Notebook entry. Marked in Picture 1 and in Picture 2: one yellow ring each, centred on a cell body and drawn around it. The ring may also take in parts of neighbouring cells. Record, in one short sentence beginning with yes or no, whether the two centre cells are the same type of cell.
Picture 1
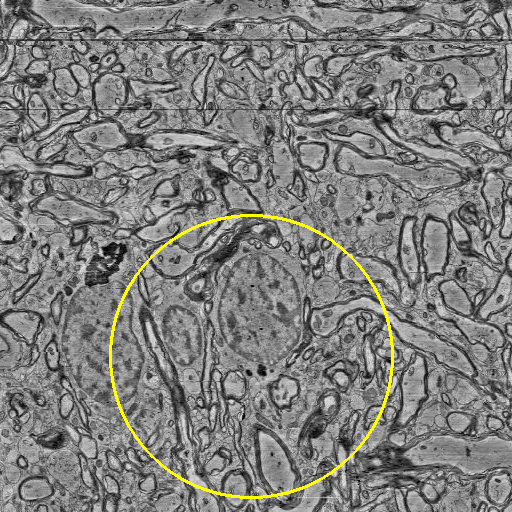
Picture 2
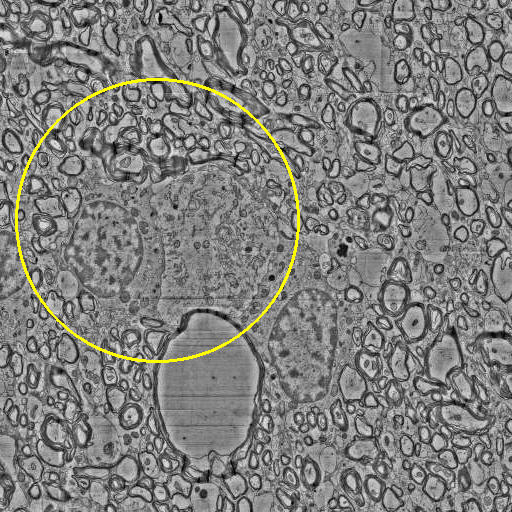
Yes, both are the same type of cell.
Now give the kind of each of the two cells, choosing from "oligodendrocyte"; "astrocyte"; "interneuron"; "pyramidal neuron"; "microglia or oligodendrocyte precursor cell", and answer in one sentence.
The first and the second cell are each an oligodendrocyte.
